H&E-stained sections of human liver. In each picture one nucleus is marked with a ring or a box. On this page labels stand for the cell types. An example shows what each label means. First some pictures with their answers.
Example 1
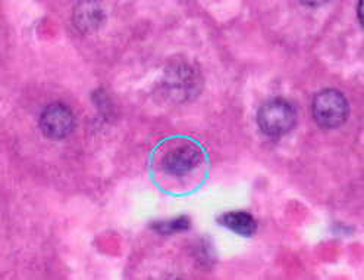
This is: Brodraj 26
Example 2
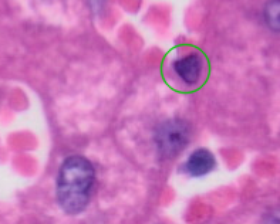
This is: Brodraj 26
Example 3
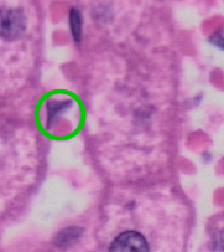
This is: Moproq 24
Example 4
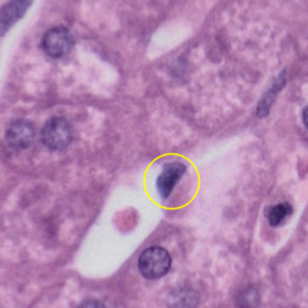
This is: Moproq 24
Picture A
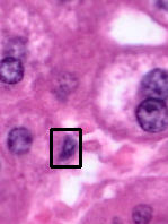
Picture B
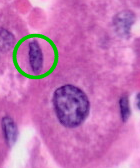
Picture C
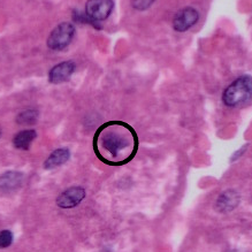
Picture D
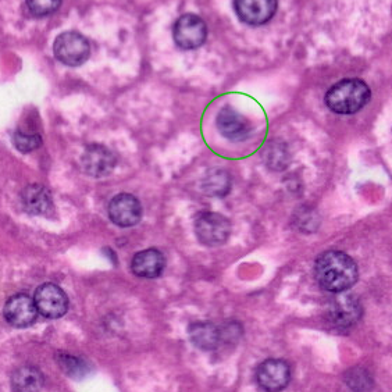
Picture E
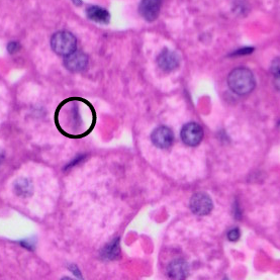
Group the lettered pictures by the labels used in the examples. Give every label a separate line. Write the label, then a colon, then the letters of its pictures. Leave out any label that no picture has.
Brodraj 26: A, B
Moproq 24: C, D, E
